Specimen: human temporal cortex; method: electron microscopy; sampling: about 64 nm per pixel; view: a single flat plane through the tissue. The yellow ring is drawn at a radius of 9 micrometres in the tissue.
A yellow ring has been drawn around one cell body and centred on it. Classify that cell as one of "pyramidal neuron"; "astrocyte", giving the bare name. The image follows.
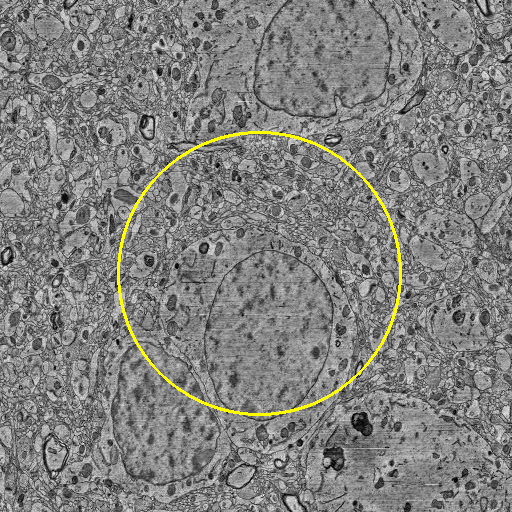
pyramidal neuron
